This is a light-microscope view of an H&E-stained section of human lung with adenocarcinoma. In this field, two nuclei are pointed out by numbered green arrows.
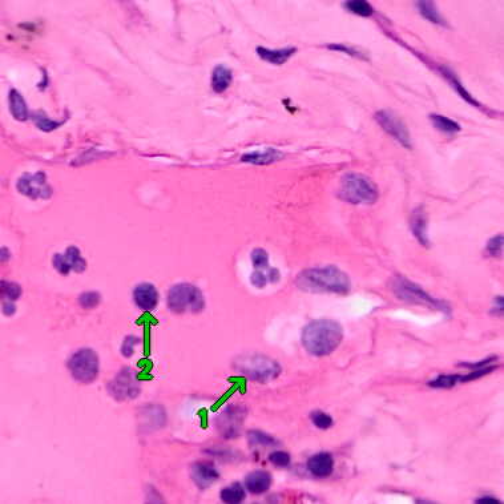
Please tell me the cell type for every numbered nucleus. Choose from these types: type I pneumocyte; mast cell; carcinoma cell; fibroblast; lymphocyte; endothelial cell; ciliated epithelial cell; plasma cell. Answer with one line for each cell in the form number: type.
1: endothelial cell
2: lymphocyte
